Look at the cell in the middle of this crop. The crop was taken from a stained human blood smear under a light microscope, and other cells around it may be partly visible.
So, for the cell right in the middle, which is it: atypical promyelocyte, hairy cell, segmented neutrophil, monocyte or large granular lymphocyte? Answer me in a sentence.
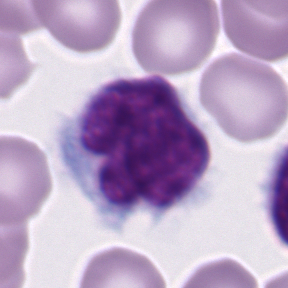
Looking at the middle of the crop, the cell there is a hairy cell.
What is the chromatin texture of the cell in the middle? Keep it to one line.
Take a look at the chromatin, which is coarsely clumped.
